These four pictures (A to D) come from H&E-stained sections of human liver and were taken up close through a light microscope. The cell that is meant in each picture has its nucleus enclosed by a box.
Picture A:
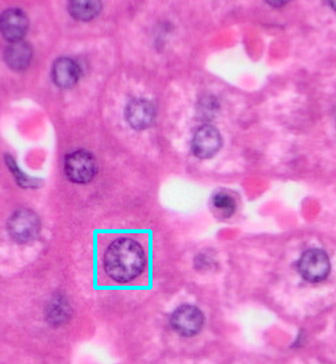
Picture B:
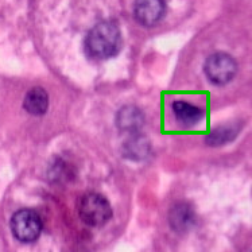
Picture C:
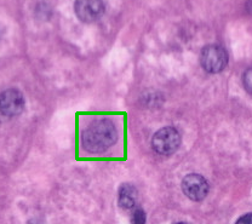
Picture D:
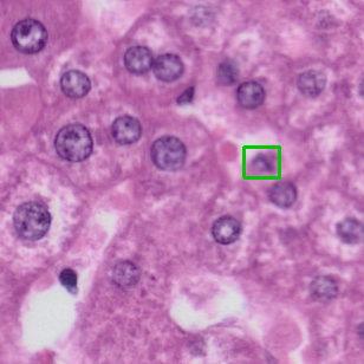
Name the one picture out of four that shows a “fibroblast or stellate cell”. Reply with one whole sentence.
The “fibroblast or stellate cell” is the one in picture B.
